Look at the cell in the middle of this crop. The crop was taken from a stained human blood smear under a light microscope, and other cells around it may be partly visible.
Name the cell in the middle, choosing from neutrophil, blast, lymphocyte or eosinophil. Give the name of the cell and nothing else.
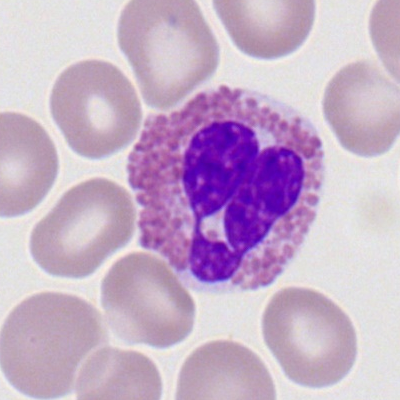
eosinophil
